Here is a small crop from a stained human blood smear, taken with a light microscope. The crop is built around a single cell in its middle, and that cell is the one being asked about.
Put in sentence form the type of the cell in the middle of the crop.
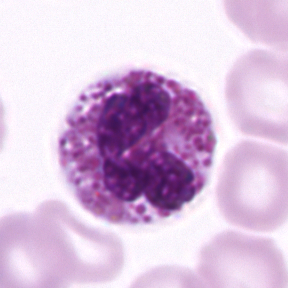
By type, the central cell of the crop is an eosinophil.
